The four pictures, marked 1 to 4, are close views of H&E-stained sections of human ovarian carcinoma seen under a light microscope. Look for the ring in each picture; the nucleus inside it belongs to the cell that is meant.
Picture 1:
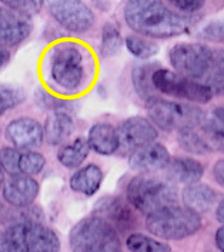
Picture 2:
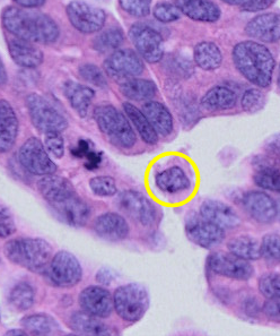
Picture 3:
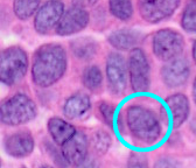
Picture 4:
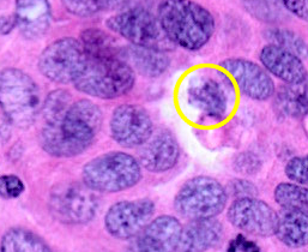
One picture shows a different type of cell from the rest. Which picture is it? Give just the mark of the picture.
3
